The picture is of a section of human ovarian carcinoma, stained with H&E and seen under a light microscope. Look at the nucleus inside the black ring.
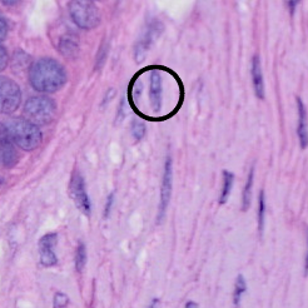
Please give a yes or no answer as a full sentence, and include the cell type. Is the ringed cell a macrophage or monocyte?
No, the ringed cell is not a macrophage or monocyte; the correct answer is a fibroblast.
